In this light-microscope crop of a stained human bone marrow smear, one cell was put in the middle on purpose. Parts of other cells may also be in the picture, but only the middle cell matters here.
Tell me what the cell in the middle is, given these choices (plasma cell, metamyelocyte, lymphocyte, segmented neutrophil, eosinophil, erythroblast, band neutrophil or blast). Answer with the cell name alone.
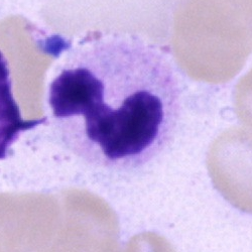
segmented neutrophil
